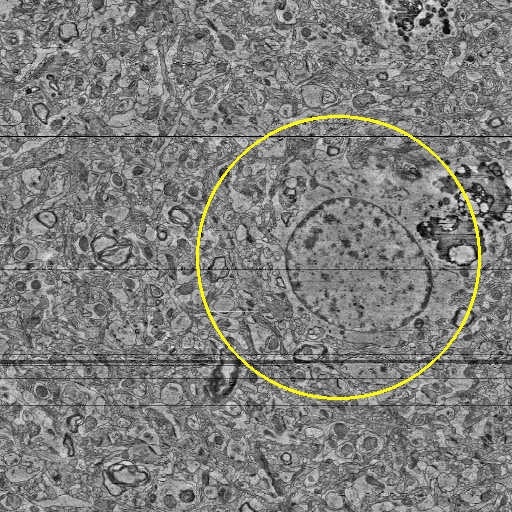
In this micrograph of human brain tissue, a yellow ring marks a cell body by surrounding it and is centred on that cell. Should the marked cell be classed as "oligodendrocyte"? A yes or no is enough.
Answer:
no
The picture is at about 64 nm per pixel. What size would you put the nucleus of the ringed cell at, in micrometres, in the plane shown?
The nucleus has a long axis of about 10 micrometres and a short axis of about 8 micrometres in this plane.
